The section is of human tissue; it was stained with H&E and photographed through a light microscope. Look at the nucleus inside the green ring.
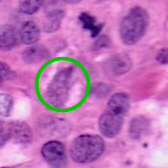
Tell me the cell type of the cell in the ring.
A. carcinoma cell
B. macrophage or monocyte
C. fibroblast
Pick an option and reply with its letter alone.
A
